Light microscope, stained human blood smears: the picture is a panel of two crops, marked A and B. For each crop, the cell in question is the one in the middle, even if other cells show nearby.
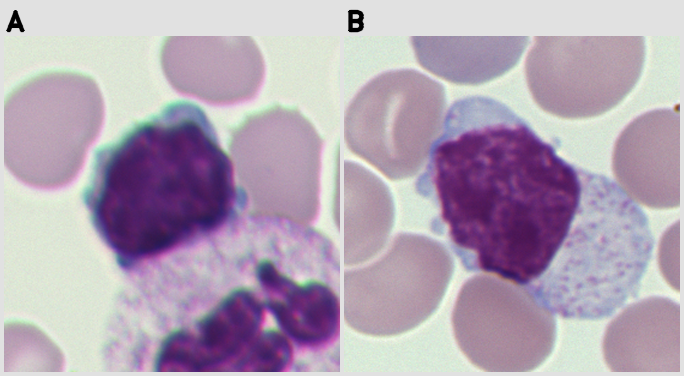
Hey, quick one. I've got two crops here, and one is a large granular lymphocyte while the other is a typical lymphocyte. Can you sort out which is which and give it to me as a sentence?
Crop A is identified as a typical lymphocyte, and crop B is identified as a large granular lymphocyte.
